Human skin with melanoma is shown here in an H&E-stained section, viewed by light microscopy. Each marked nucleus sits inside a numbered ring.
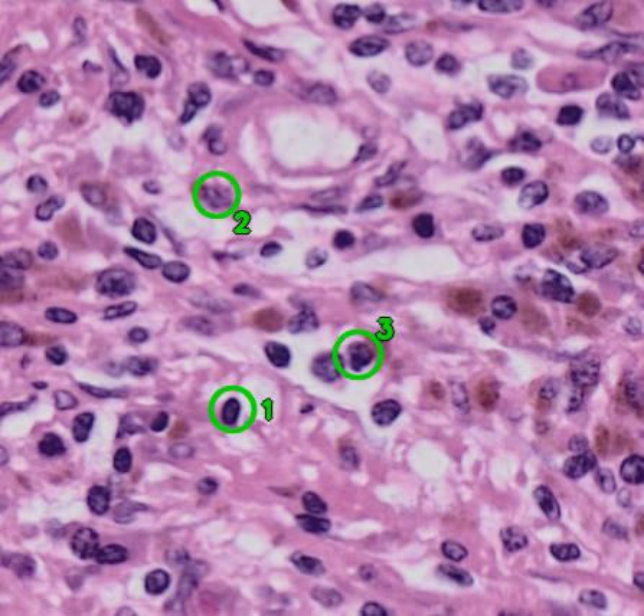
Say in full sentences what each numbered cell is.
Cell 1 is a lymphocyte, cell 2 is a macrophage or monocyte and cell 3 is a lymphocyte.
